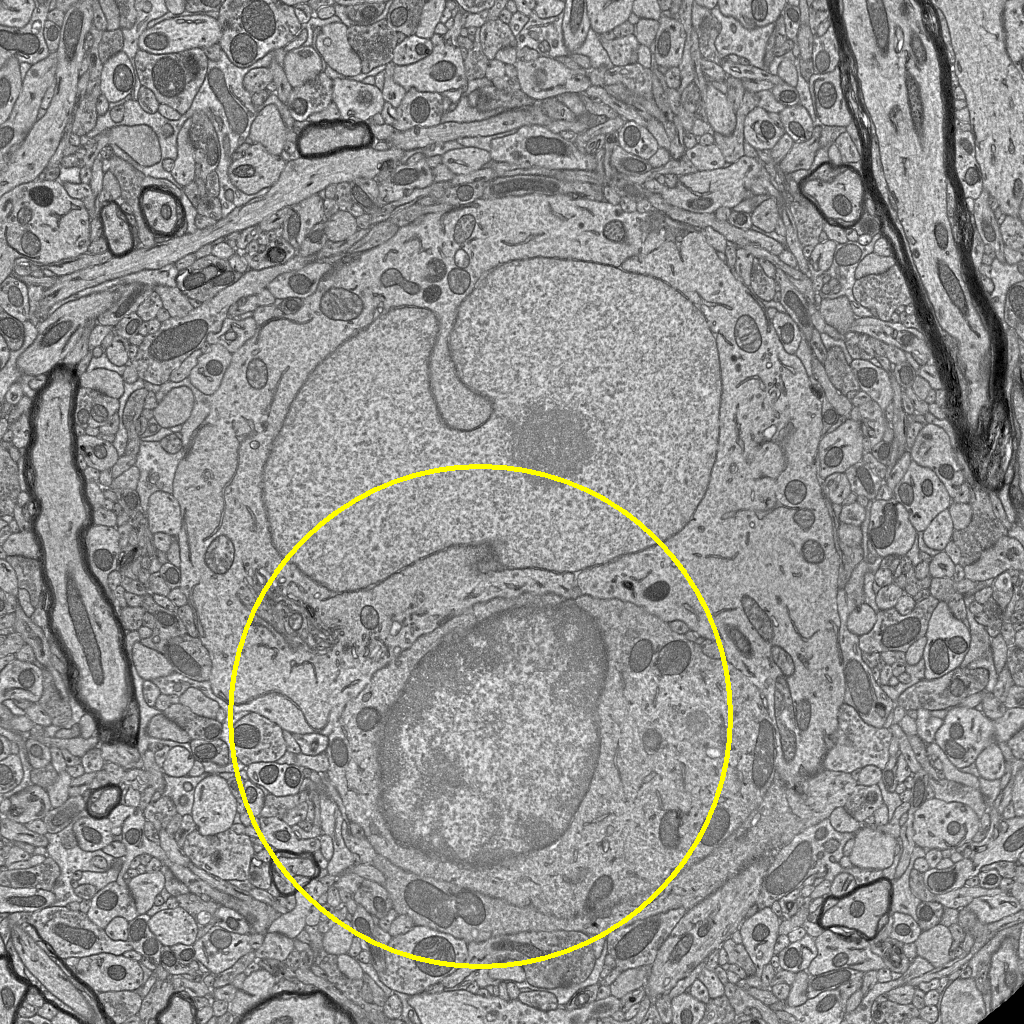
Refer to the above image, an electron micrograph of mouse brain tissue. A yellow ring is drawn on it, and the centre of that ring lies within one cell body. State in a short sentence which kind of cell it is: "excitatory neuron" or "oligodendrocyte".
The centre of the ring falls on an oligodendrocyte.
